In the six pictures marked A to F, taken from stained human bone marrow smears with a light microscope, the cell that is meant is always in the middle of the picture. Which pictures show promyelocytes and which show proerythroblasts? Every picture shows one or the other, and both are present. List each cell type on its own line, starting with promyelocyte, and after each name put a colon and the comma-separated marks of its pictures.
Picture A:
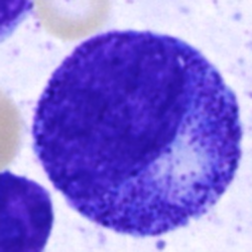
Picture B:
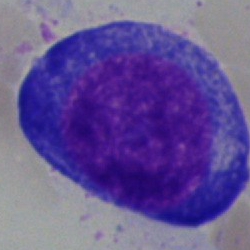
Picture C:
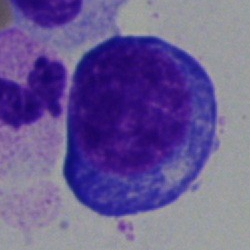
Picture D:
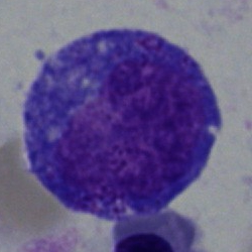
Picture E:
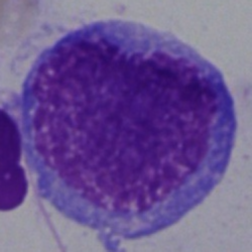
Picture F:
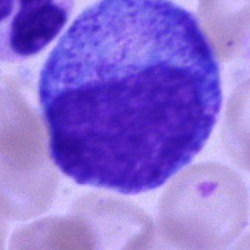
promyelocyte: A, F
proerythroblast: B, C, D, E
